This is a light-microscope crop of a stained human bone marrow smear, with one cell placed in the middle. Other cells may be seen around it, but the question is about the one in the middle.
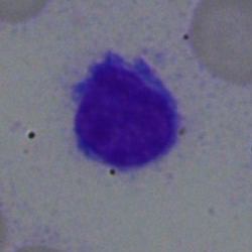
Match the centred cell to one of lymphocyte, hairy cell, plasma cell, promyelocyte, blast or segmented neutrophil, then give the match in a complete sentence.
Classification of the middle cell gives a lymphocyte.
